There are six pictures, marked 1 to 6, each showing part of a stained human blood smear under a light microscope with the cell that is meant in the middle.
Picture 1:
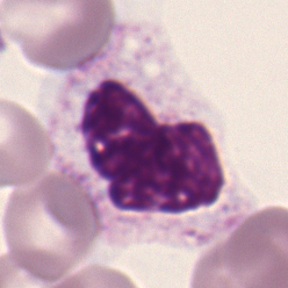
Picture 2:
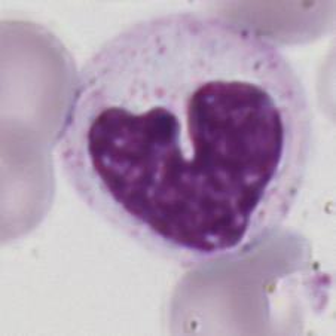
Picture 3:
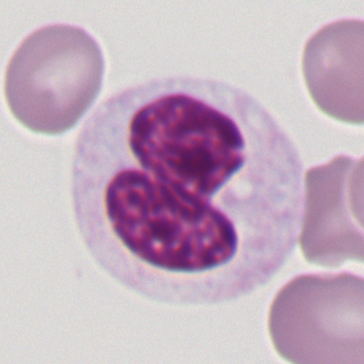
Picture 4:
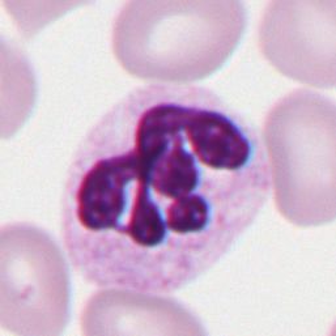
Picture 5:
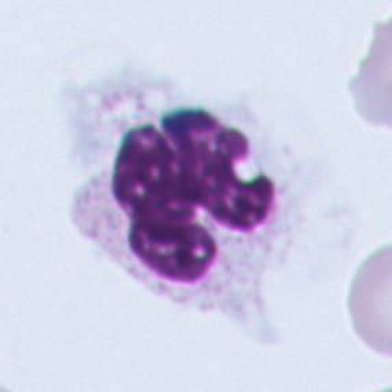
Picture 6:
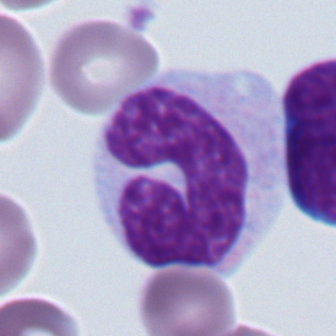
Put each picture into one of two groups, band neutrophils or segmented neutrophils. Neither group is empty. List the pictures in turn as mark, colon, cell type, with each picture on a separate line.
1: segmented neutrophil
2: band neutrophil
3: segmented neutrophil
4: segmented neutrophil
5: segmented neutrophil
6: band neutrophil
